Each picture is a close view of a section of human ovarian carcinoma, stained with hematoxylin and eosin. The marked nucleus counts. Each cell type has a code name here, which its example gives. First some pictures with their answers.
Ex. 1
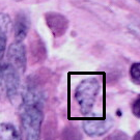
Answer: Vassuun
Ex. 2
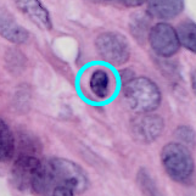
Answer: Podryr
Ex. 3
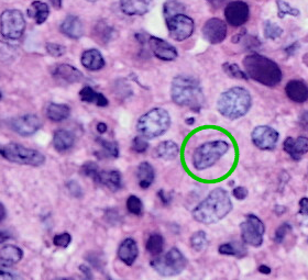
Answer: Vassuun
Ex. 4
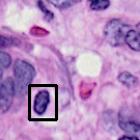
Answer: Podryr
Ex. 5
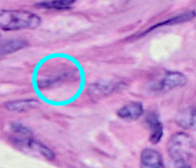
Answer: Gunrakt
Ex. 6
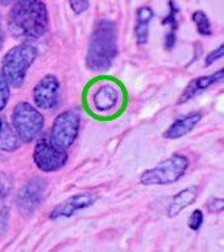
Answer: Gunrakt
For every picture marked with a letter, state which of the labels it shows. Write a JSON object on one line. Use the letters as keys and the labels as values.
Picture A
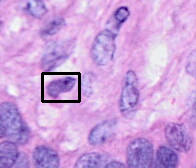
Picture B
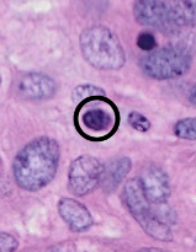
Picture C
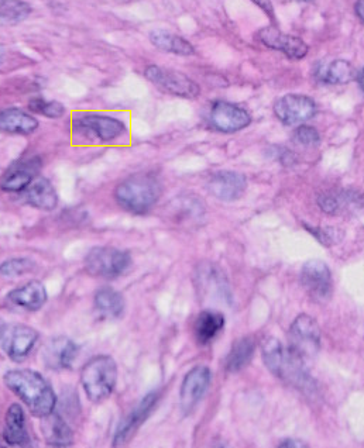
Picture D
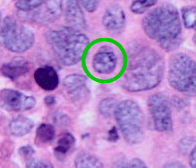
{"A": "Vassuun", "B": "Podryr", "C": "Gunrakt", "D": "Vassuun"}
